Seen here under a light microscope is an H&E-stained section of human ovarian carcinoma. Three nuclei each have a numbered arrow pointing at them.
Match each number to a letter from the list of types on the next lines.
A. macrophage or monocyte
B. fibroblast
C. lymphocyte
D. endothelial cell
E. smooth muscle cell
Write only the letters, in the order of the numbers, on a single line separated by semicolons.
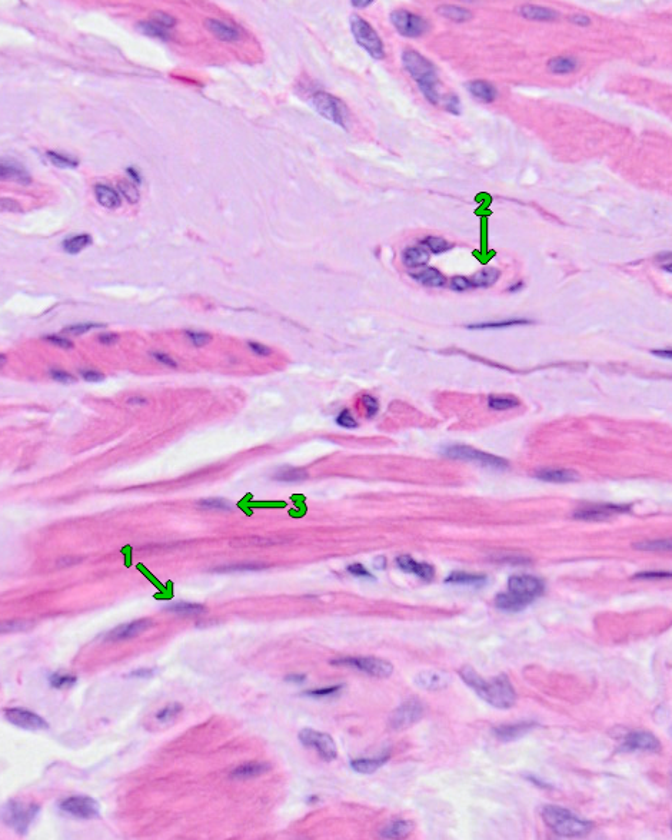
E; D; E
